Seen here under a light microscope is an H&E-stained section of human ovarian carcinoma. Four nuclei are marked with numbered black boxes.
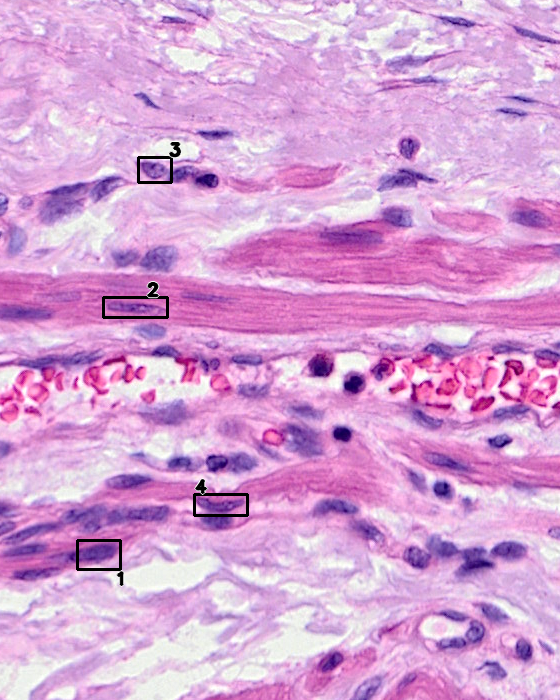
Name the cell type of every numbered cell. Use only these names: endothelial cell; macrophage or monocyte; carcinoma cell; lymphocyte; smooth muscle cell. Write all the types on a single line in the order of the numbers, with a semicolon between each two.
smooth muscle cell; smooth muscle cell; macrophage or monocyte; smooth muscle cell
